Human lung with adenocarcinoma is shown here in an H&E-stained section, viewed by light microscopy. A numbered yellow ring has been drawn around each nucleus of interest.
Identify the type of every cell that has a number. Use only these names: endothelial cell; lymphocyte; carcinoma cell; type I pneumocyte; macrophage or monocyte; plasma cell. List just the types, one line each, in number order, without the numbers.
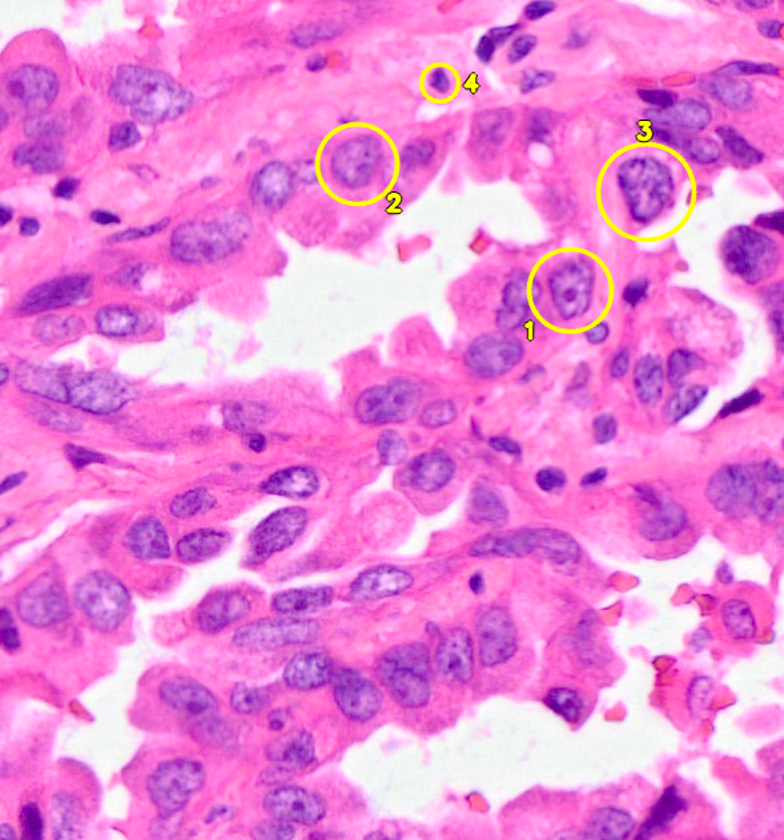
carcinoma cell
carcinoma cell
carcinoma cell
lymphocyte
